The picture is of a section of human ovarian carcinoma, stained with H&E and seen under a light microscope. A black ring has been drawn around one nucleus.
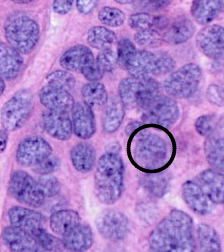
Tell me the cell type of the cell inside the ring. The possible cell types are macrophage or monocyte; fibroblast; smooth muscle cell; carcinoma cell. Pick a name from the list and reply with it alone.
carcinoma cell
